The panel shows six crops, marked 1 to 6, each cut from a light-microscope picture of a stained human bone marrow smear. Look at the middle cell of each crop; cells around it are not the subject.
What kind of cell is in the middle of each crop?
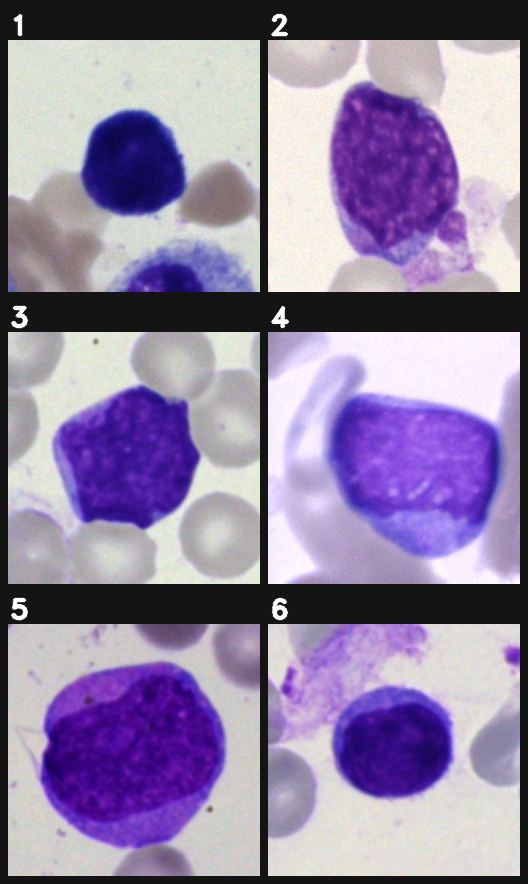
1: lymphocyte
2: blast
3: blast
4: blast
5: blast
6: lymphocyte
